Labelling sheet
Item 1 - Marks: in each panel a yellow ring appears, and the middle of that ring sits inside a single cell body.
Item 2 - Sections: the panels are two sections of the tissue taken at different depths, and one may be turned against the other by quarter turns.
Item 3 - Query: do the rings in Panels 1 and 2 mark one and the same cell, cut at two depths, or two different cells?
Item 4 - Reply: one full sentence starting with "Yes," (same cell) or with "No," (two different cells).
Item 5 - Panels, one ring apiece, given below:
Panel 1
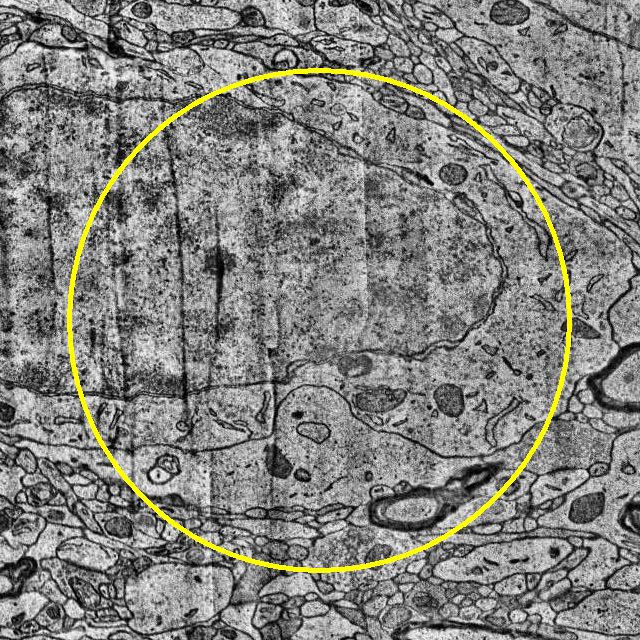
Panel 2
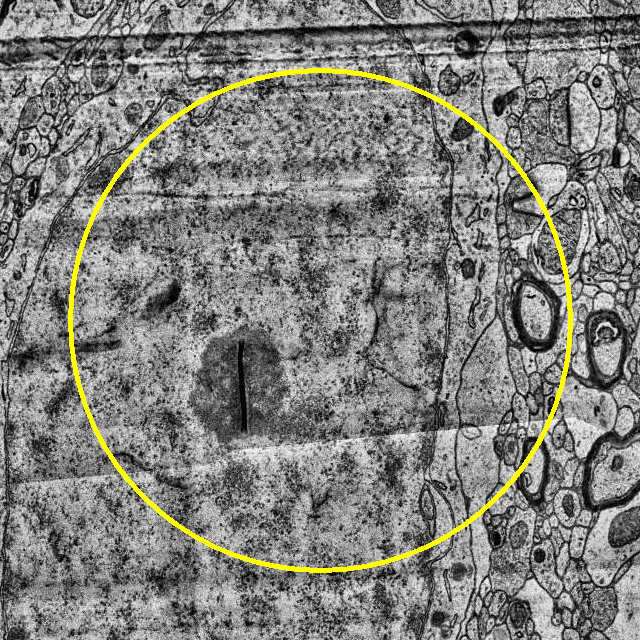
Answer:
Yes, one cell accounts for both of the yellow rings.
